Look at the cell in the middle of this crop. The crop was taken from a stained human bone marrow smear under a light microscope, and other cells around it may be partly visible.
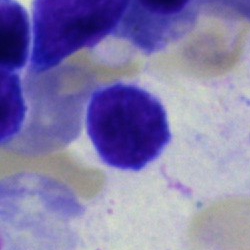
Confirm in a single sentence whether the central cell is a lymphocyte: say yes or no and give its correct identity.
Yes, the cell lying in the centre of the crop is identified as a lymphocyte.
